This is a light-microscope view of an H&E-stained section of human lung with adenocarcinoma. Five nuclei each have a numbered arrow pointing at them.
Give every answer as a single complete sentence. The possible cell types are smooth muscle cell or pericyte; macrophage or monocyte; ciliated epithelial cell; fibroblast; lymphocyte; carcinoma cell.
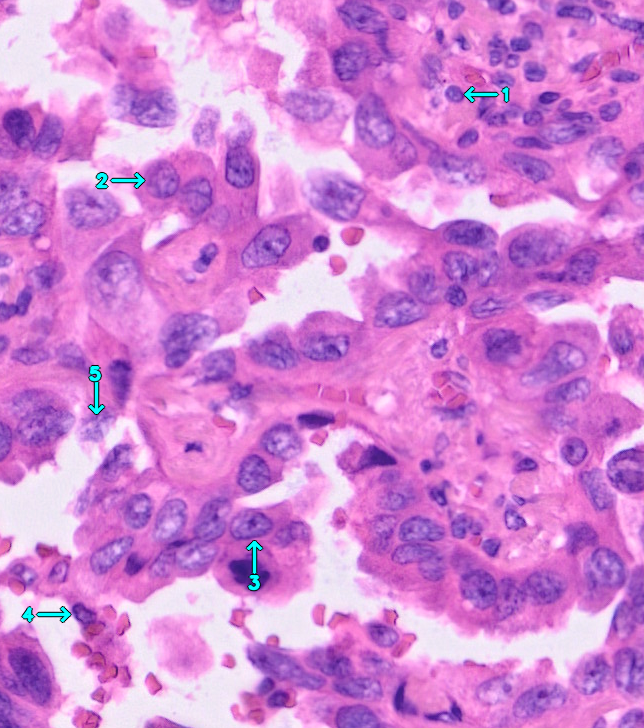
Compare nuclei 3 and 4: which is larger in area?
It is nucleus 3, which covers about 2 times the area of nucleus 4.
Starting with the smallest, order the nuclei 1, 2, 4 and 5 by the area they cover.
From smallest to largest, the order is 1, 4, 5, 2.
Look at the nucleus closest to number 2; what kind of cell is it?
It is a carcinoma cell whose nucleus is nearest to number 2.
